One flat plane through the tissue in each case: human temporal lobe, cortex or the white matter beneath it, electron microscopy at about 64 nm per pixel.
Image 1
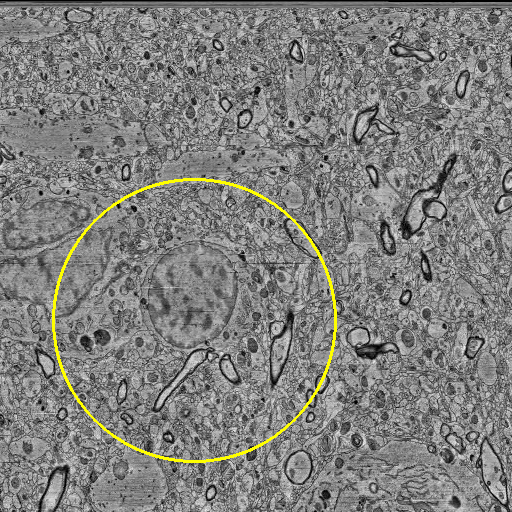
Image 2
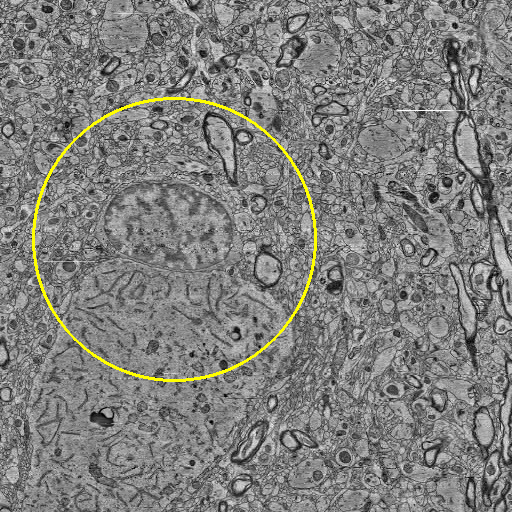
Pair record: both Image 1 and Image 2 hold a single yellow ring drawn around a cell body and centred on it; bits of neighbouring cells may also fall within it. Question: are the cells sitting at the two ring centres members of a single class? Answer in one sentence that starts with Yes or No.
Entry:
Yes, both ring-centre cells in Image 1 and Image 2 are members of one class.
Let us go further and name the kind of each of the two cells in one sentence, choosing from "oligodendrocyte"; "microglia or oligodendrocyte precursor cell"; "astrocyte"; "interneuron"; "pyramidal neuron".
Each one of the two ringed cells is an oligodendrocyte.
